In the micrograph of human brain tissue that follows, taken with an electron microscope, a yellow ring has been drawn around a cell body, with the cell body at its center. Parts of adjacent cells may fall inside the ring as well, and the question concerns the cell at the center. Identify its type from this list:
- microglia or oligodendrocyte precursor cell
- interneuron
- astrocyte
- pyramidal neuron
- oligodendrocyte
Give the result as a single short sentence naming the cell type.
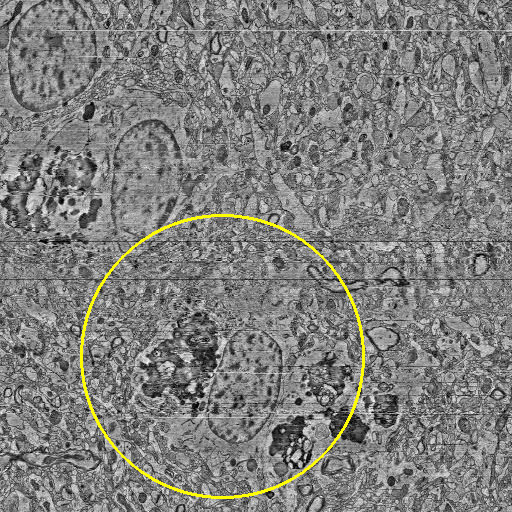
The ring is centered on an astrocyte.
